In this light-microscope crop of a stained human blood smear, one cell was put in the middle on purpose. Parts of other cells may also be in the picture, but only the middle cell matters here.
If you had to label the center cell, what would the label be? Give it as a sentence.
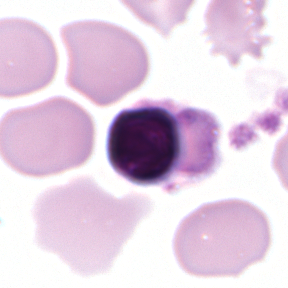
The target cell in the middle of the crop is a normoblast.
